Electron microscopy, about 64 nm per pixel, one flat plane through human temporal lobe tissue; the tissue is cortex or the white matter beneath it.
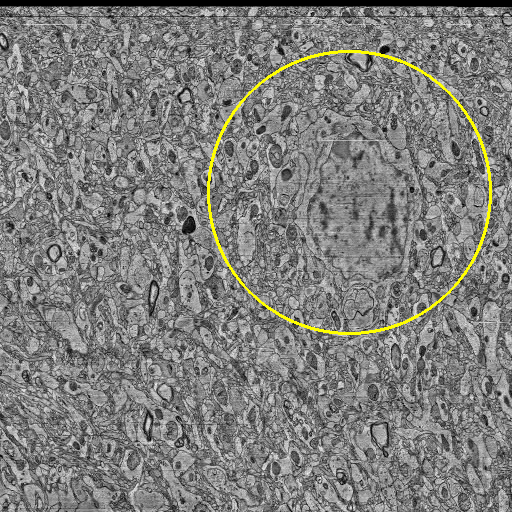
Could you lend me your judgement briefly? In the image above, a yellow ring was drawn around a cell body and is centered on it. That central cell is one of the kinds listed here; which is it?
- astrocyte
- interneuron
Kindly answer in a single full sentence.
Going by the list, an interneuron is the kind at the ring's center in the picture.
